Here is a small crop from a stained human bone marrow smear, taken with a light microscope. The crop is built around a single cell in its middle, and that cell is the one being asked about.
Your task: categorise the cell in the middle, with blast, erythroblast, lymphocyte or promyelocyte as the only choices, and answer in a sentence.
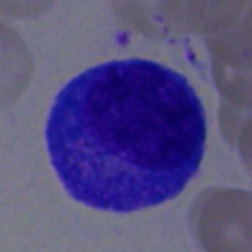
Where the crop is centred, there is a promyelocyte.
